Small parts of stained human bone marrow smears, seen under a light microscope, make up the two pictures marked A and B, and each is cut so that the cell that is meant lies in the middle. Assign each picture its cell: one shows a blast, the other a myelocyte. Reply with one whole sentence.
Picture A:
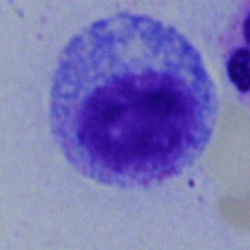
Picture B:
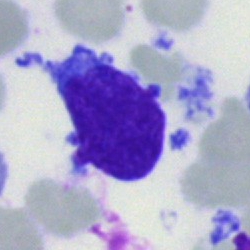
Picture A is of a myelocyte, and picture B is of a blast.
